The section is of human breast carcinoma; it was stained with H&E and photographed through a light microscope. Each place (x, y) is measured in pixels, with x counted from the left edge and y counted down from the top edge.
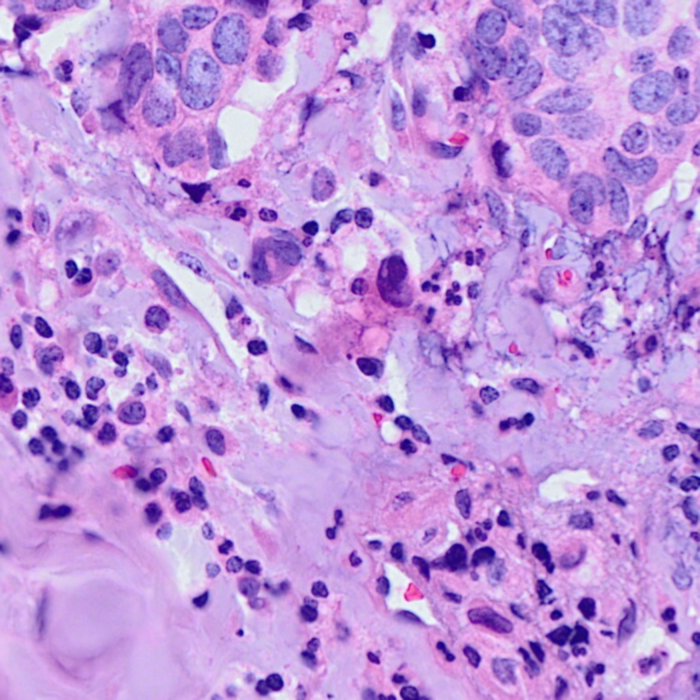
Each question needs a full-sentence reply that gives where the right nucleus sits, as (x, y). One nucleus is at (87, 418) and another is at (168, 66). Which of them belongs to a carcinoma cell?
Of the two nuclei, the one sitting at (168, 66) belongs to a carcinoma cell.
